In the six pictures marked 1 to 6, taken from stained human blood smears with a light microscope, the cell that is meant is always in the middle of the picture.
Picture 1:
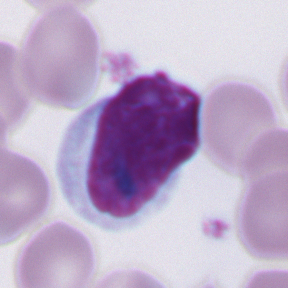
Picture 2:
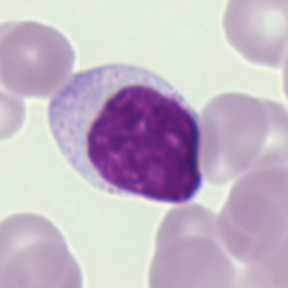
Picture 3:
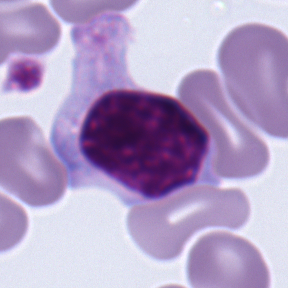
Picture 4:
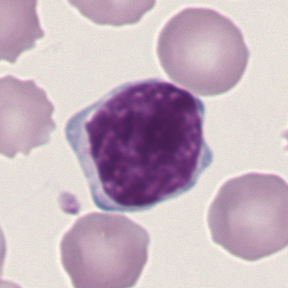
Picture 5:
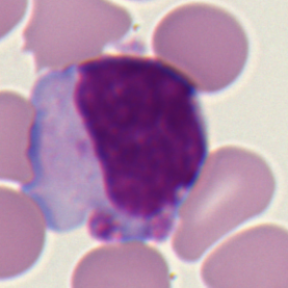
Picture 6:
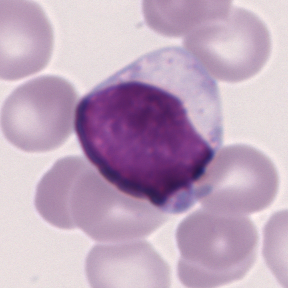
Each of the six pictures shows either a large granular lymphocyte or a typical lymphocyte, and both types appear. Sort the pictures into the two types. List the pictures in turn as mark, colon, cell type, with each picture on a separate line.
1: typical lymphocyte
2: large granular lymphocyte
3: typical lymphocyte
4: typical lymphocyte
5: large granular lymphocyte
6: large granular lymphocyte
